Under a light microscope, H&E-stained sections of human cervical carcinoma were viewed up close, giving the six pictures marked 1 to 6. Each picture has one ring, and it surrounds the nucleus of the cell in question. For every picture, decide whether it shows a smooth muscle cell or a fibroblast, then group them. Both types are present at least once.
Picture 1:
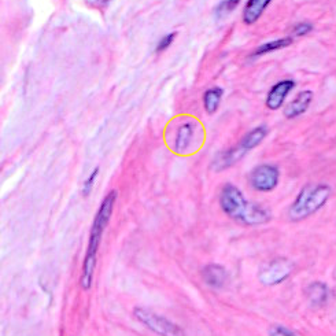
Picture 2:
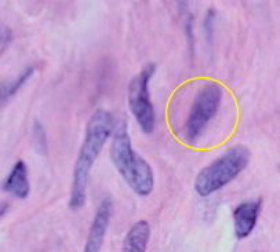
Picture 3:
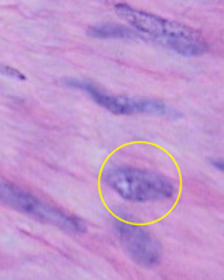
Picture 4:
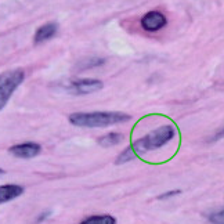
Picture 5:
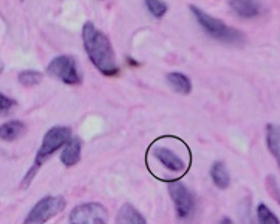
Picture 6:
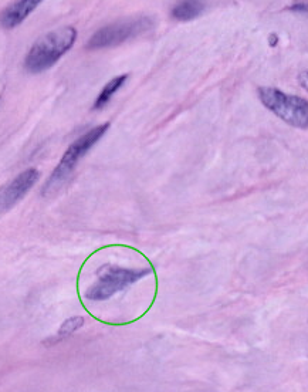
1: smooth muscle cell
2: fibroblast
3: smooth muscle cell
4: fibroblast
5: fibroblast
6: fibroblast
